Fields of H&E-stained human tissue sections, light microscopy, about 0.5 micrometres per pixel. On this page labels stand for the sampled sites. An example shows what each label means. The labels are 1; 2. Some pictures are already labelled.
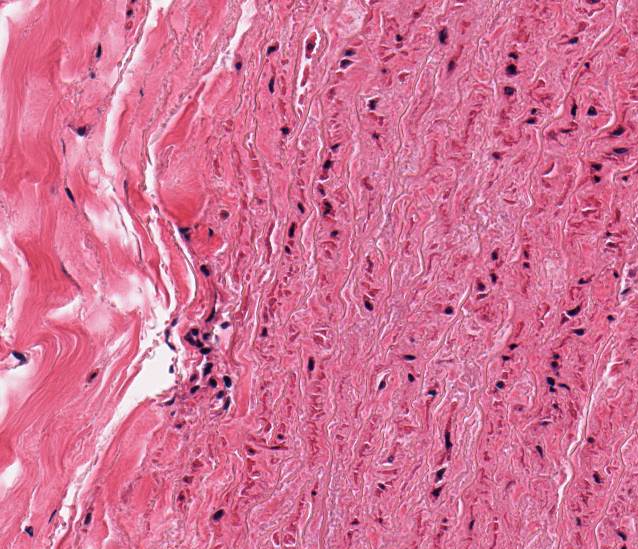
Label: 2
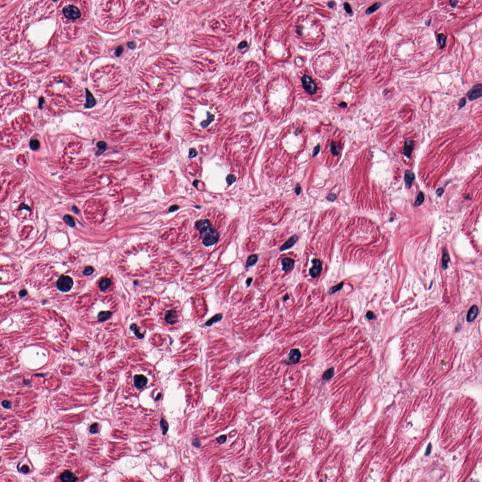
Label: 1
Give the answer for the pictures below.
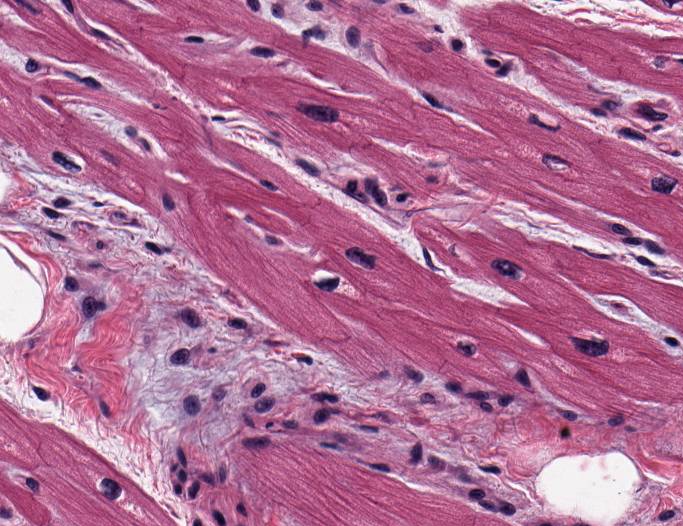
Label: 1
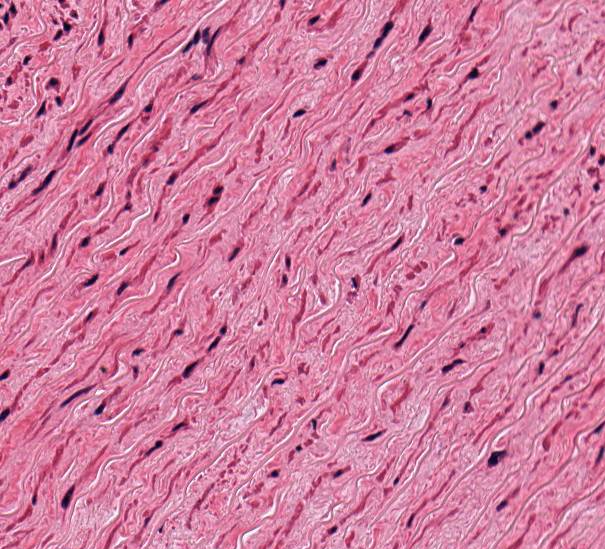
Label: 2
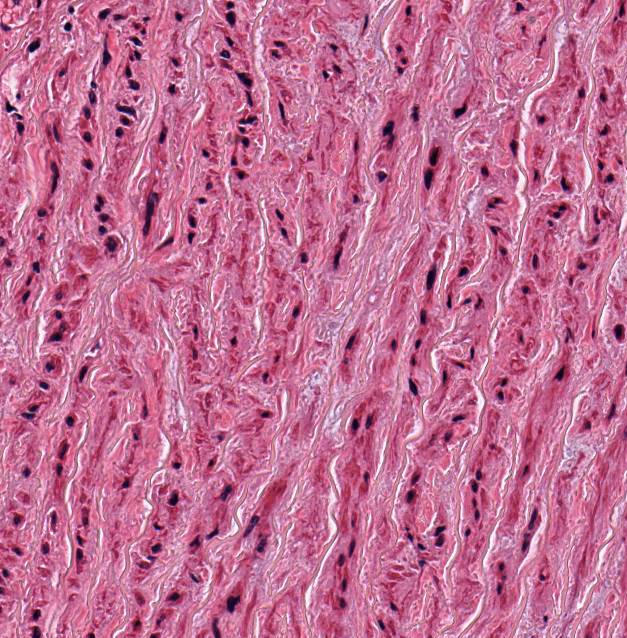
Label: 2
